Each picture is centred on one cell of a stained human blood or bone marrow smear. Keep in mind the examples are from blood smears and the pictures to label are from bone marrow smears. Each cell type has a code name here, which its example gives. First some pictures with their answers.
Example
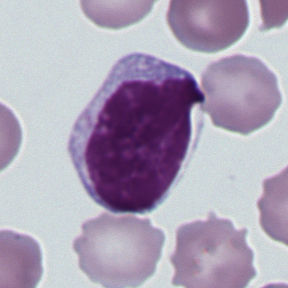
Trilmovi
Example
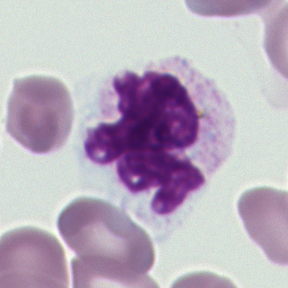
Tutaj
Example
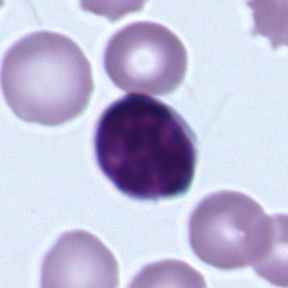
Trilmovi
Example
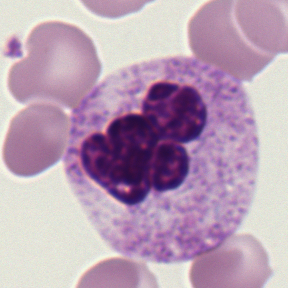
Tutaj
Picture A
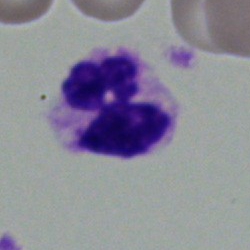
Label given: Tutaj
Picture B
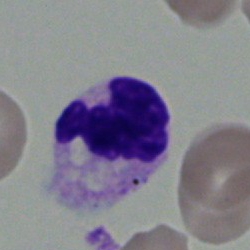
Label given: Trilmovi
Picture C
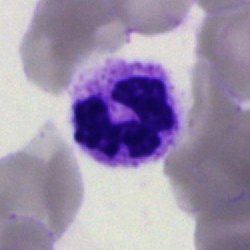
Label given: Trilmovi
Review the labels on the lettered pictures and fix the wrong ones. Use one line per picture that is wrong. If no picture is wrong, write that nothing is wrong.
B: Tutaj, not Trilmovi
C: Tutaj, not Trilmovi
